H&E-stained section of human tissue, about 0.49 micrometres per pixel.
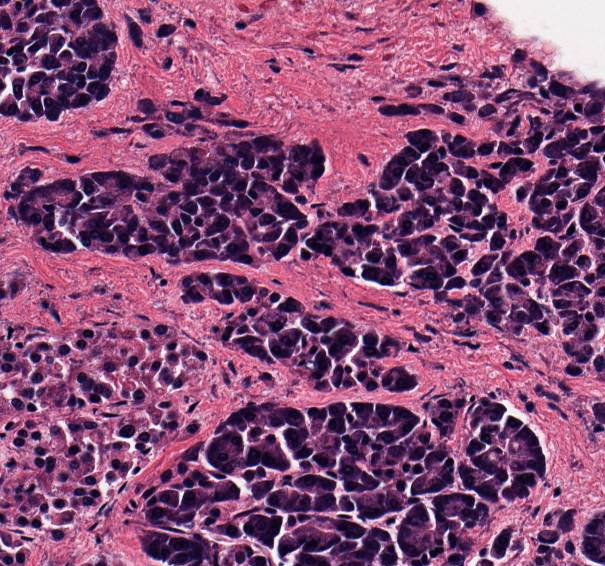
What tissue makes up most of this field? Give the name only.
exocrine pancreas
